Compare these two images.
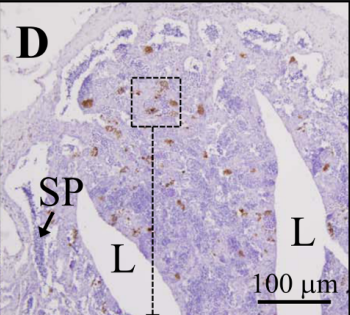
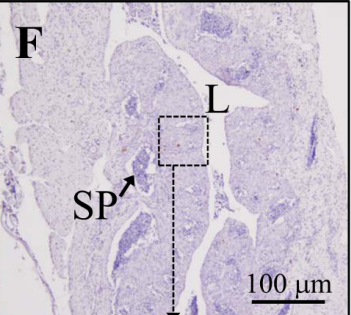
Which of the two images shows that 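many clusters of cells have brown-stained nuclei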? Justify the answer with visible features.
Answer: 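Second image: the tissue is almost entirely blue-purple, with hardly any brown. First image: numerous brown-stained clusters are scattered across the tissue. On this evidence: the first image.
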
